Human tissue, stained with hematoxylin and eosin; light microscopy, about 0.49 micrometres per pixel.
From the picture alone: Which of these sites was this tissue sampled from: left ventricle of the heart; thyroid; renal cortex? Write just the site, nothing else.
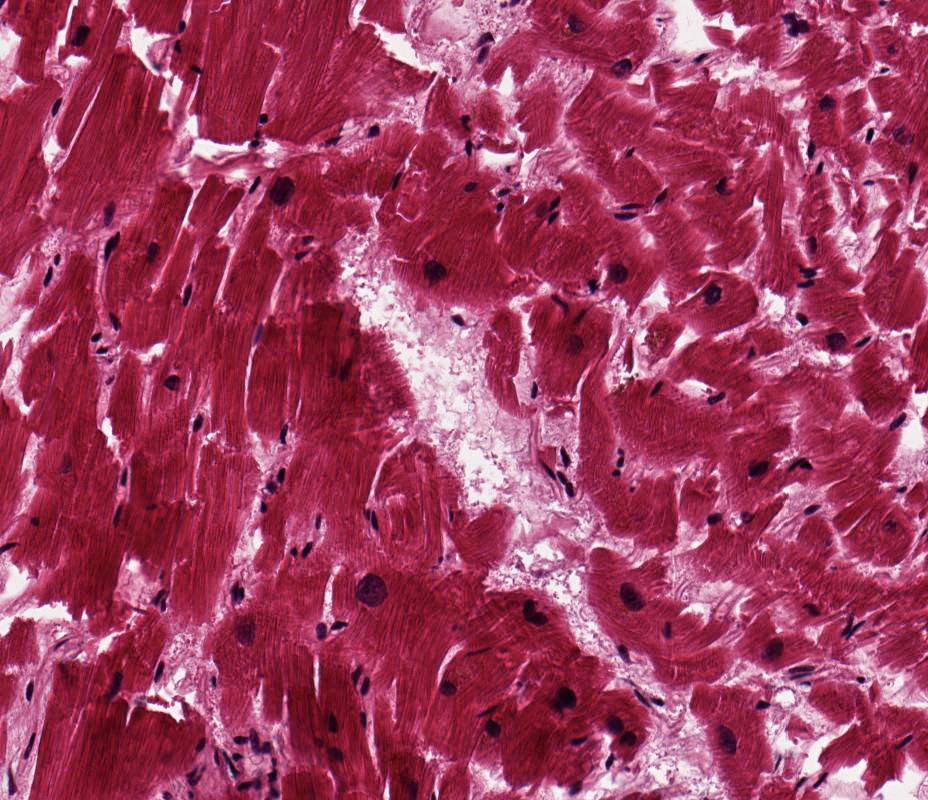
left ventricle of the heart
